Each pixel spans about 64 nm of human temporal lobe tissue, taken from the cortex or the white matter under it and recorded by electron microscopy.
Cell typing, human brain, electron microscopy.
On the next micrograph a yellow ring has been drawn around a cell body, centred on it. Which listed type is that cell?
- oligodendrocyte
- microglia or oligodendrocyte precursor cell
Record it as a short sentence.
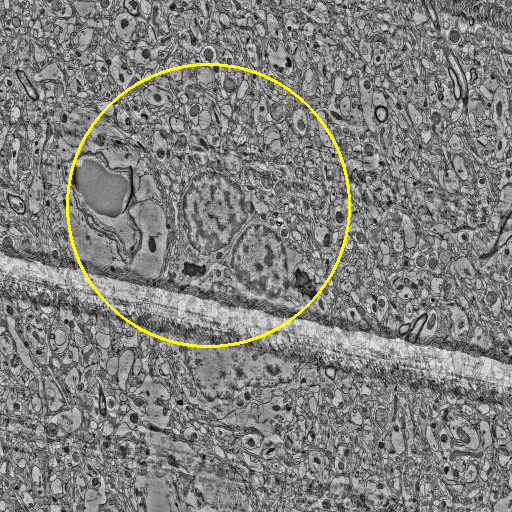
The cell body in the ring's centre belongs to an oligodendrocyte.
